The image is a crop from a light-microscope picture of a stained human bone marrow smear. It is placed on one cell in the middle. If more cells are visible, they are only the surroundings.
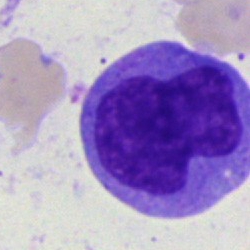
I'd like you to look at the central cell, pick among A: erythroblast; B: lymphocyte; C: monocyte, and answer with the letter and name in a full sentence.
The central cell in this crop is a monocyte, so the correct choice is option C.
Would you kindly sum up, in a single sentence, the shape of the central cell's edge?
Smooth outline, no projections: that is the whole story of its edge.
